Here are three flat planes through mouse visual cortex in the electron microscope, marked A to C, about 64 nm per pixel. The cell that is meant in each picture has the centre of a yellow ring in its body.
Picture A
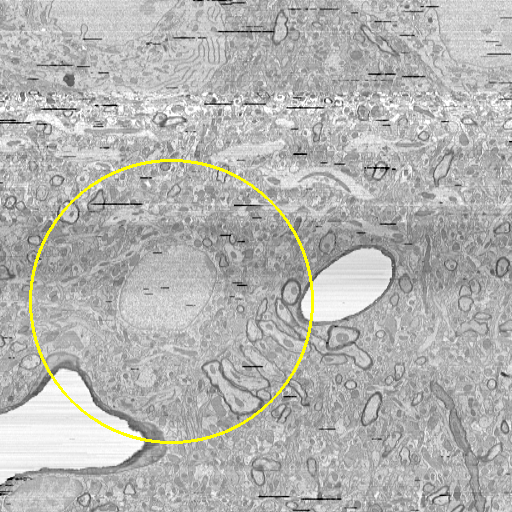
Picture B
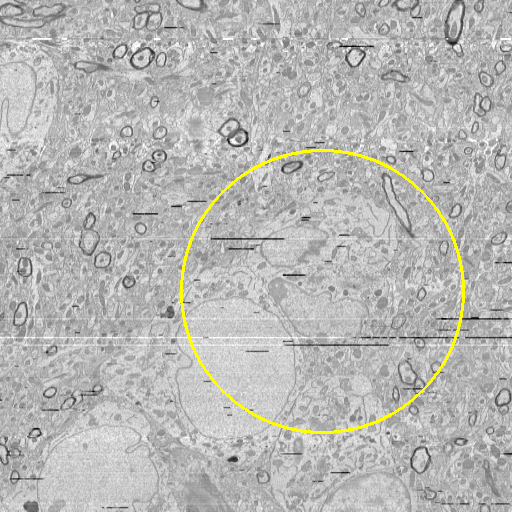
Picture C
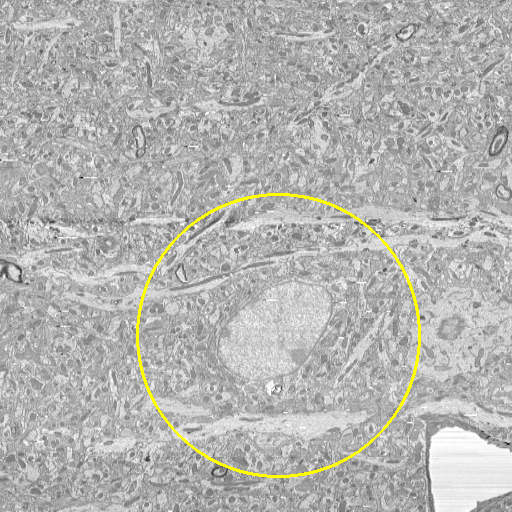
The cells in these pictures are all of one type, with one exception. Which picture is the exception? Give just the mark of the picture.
B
